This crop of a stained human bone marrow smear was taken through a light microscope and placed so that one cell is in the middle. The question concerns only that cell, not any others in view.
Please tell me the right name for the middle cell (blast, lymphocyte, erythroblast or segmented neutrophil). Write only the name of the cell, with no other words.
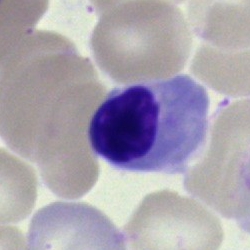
erythroblast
